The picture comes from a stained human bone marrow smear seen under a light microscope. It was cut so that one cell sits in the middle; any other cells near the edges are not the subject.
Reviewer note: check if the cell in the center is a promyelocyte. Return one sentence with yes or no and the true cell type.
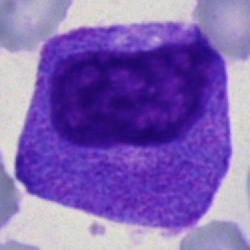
Yes, the cell here in the middle is a promyelocyte.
